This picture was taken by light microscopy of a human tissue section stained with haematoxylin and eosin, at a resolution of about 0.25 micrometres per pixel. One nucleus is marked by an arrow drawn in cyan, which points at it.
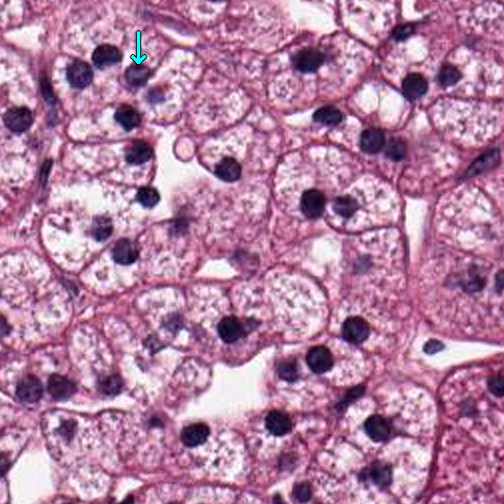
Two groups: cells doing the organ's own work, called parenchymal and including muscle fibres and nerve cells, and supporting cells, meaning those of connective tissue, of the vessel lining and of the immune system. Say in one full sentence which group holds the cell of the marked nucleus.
The marked nucleus is carried by a parenchymal cell, namely an adrenal cortical cell.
